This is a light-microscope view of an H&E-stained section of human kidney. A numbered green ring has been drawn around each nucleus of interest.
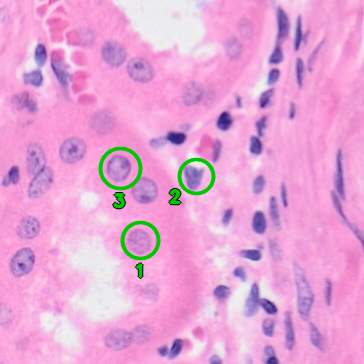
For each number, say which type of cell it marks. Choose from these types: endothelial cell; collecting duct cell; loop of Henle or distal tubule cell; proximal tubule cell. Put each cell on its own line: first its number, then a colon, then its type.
1: proximal tubule cell
2: endothelial cell
3: proximal tubule cell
